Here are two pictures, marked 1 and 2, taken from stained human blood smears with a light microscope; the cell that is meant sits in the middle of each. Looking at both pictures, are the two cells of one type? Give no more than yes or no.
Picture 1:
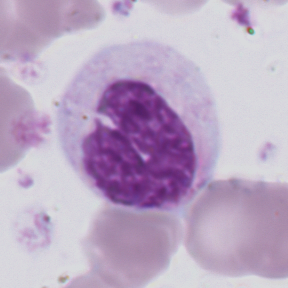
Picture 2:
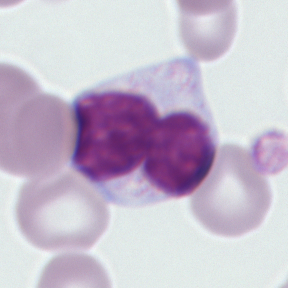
no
